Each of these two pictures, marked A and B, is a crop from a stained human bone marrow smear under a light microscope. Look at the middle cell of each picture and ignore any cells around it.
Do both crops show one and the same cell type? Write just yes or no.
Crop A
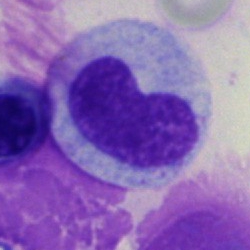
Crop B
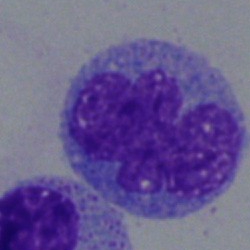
yes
